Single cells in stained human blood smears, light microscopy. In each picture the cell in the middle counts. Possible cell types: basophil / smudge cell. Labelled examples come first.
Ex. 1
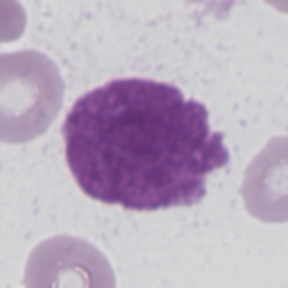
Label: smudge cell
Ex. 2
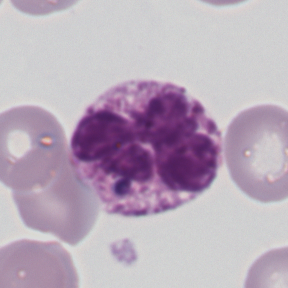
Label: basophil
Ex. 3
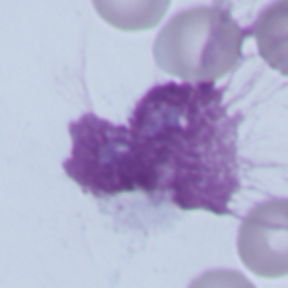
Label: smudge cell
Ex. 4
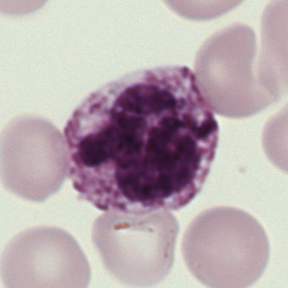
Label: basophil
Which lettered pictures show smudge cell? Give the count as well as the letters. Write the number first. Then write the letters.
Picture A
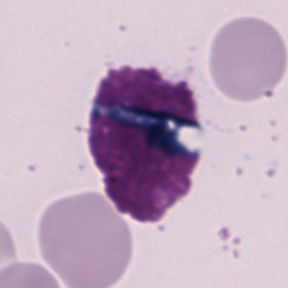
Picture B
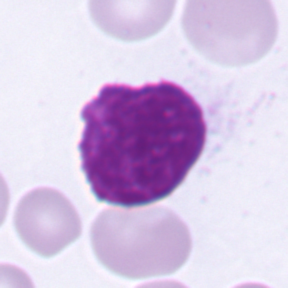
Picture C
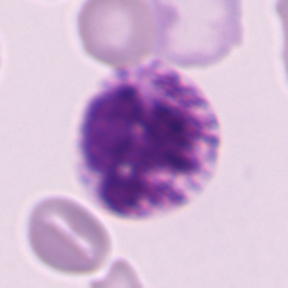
Count: 2 (A, B)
